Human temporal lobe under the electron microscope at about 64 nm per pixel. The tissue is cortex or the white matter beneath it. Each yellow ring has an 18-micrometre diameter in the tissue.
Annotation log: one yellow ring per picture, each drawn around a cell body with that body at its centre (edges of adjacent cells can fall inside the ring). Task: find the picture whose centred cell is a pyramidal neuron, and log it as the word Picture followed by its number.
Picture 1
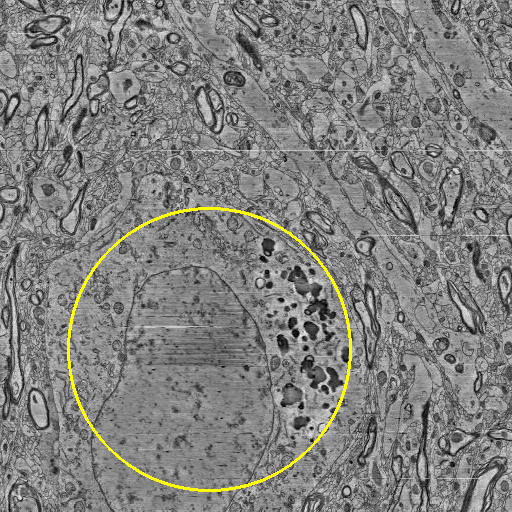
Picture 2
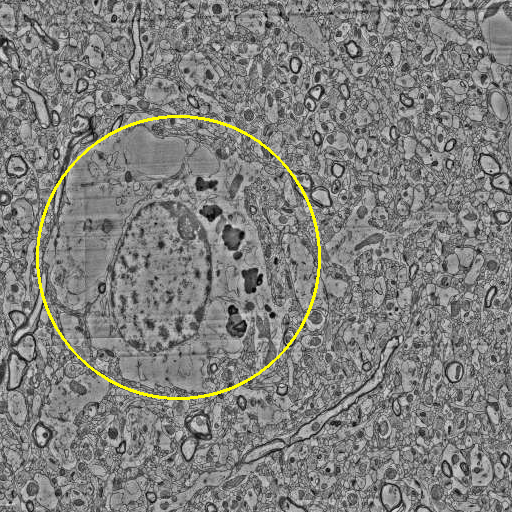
Picture 1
